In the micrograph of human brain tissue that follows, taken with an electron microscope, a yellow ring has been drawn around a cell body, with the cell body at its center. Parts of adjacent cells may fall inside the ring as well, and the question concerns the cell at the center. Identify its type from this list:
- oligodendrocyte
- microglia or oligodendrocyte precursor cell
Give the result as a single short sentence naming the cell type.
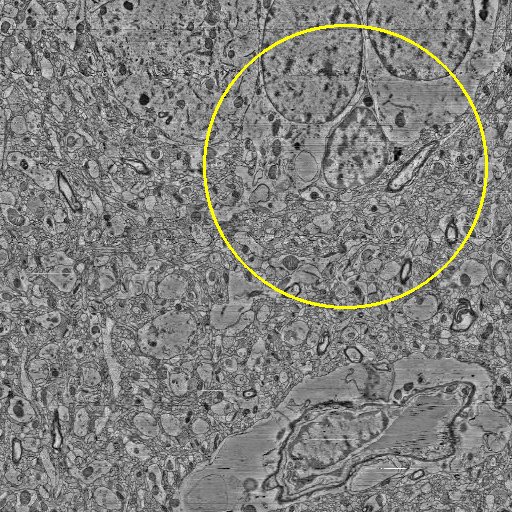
The ring is centered on a microglial cell or oligodendrocyte precursor cell.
